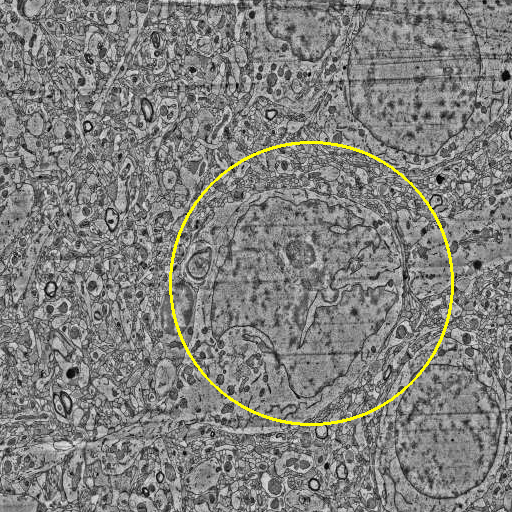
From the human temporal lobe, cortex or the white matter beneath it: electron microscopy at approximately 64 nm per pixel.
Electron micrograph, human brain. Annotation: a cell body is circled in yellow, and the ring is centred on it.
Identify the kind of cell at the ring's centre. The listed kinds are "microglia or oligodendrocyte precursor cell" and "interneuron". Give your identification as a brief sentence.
The circled cell body is that of an interneuron.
